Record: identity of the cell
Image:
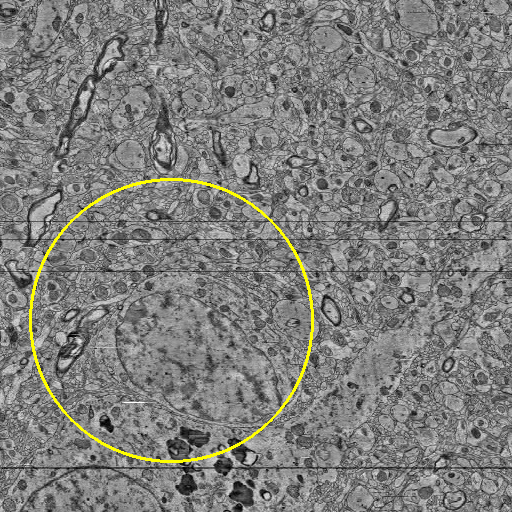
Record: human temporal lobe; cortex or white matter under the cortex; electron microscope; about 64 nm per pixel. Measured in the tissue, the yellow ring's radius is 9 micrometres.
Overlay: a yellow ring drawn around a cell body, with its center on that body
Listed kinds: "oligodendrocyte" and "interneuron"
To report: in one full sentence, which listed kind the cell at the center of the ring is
In the image, the cell body at the ring's center belongs to an interneuron.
